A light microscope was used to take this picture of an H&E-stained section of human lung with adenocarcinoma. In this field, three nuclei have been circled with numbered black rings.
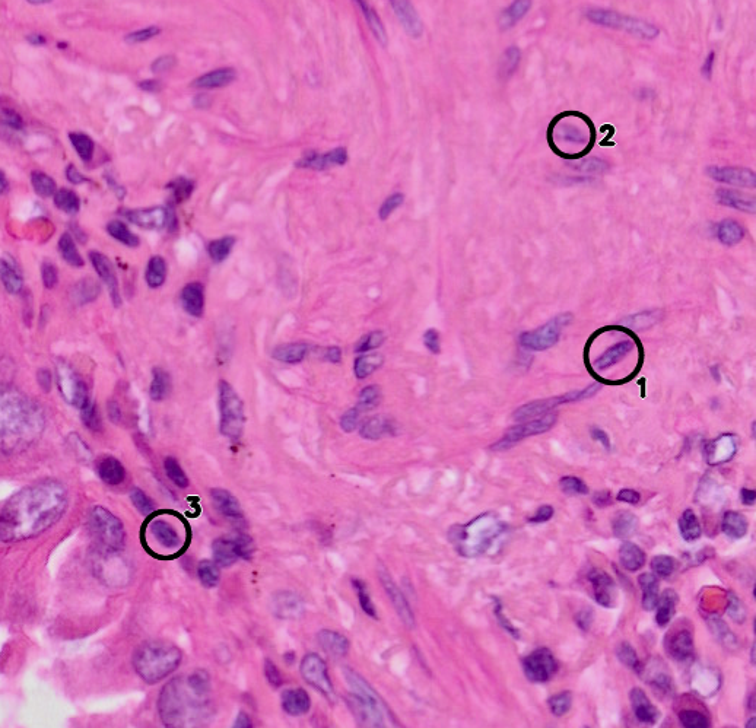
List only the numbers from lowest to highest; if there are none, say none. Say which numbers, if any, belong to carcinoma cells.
none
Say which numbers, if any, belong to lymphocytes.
3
